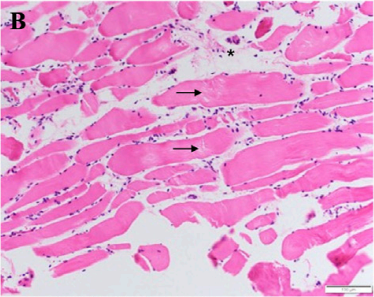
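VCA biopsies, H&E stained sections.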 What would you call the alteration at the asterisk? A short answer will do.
edema between muscle fibers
